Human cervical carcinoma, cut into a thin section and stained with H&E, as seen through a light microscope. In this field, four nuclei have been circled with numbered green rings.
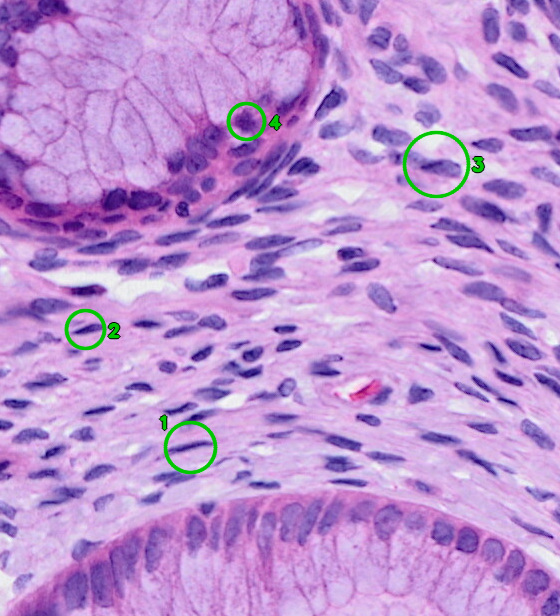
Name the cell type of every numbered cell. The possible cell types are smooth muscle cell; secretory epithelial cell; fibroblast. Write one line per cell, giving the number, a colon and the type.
1: fibroblast
2: fibroblast
3: fibroblast
4: secretory epithelial cell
